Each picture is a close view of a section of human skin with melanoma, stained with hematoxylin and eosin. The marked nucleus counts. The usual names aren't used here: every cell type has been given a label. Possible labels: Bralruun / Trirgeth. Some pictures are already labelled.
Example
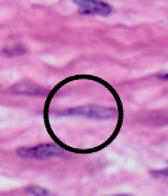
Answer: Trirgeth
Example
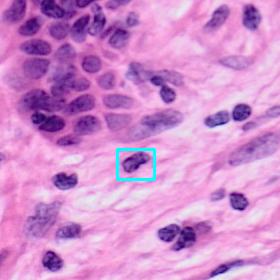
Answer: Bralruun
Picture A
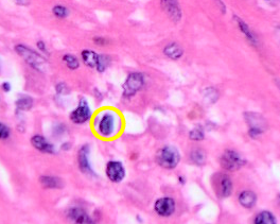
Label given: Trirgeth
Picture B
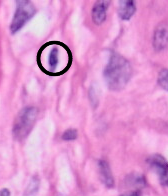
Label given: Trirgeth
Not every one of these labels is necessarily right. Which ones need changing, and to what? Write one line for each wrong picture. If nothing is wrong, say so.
A: change Trirgeth to Bralruun
B: change Trirgeth to Bralruun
